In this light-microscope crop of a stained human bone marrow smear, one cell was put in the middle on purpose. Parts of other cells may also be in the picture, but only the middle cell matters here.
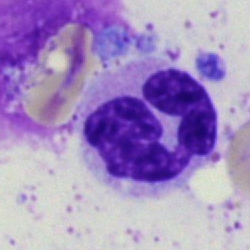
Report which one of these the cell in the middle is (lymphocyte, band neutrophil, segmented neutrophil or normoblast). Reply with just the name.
segmented neutrophil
